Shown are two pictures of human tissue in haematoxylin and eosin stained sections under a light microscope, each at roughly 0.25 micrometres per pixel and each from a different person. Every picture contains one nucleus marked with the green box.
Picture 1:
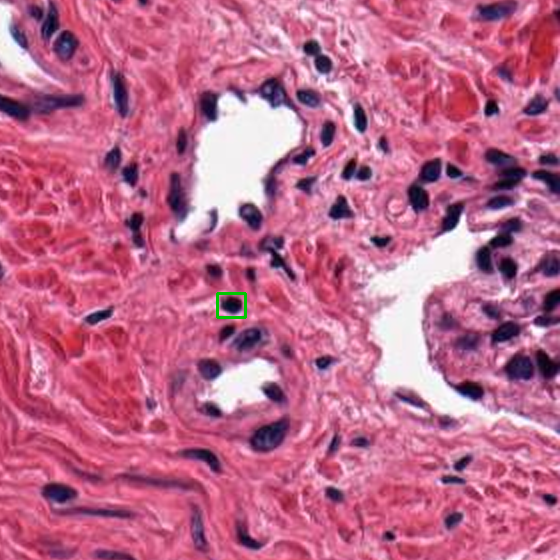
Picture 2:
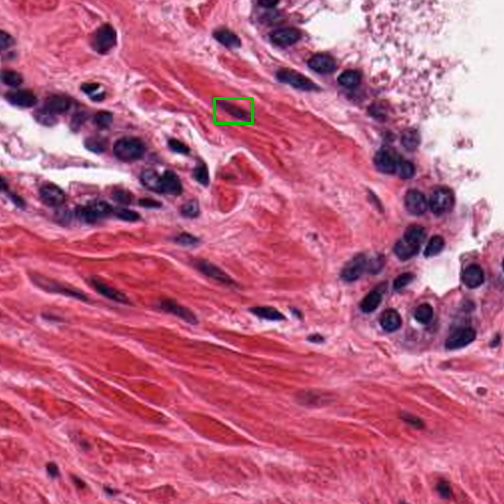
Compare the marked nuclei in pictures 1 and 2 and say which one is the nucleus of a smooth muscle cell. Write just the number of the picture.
2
